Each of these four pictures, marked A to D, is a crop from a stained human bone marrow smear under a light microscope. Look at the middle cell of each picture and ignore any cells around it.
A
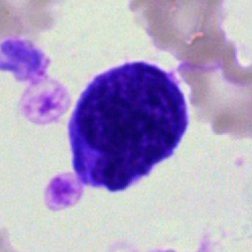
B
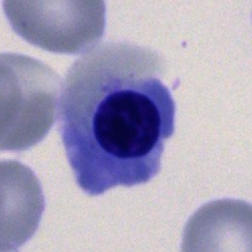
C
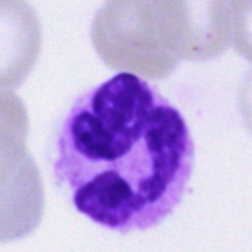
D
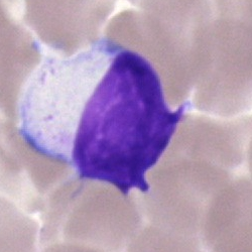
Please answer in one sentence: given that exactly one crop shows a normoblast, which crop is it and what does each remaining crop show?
In crop B there is a normoblast, while crop A is a blast, crop C is a neutrophil and crop D is a lymphocyte.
